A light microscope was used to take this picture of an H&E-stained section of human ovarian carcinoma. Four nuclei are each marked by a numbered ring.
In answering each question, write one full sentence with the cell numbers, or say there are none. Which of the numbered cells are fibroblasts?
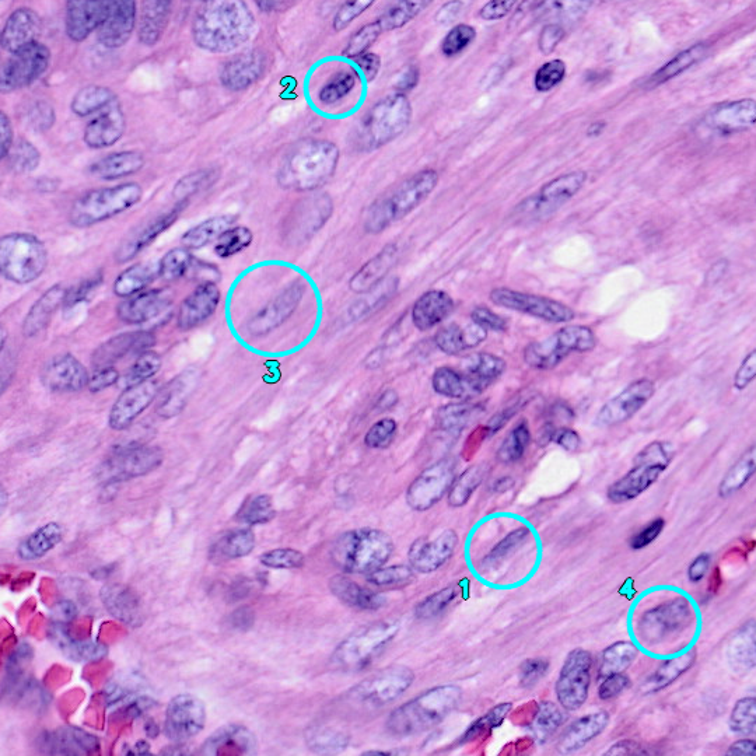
Marked by the numbers 1 and 3 are cells that are fibroblasts.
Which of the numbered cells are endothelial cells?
Nothing but cell 4 is an endothelial cell among the numbered ones.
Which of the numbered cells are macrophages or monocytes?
The cells whose nuclei carry numbers are not macrophages or monocytes.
